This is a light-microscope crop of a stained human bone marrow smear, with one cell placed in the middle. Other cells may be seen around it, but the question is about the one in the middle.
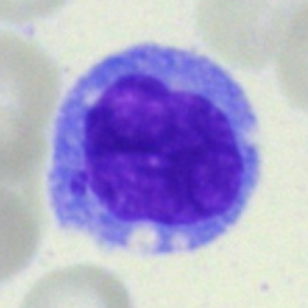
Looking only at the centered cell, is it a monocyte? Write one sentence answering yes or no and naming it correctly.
Yes, a monocyte is present in the middle of the crop.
